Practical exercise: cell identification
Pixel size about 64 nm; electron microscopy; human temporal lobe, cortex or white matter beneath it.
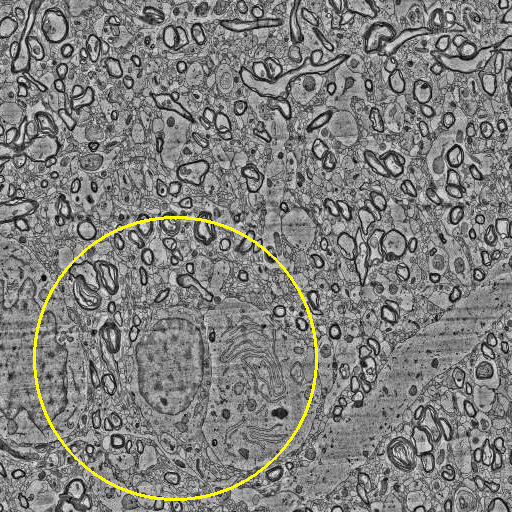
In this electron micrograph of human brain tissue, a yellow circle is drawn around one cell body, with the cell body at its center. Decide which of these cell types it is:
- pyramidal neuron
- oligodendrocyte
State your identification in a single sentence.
The ringed cell is an oligodendrocyte.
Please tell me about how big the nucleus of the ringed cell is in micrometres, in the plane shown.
The ringed cell's nucleus is about 6 micrometres long and 5 micrometres wide in this plane.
